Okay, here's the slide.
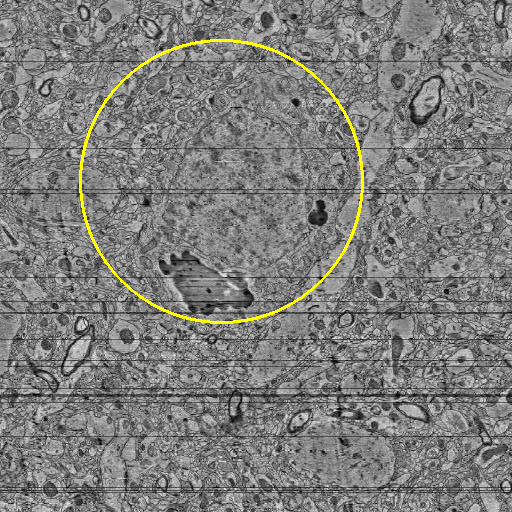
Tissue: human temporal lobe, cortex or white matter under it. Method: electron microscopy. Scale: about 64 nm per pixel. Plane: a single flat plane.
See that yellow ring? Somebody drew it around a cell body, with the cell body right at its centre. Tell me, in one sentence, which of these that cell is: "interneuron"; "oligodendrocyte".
The cell in the middle of the ring is an interneuron.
